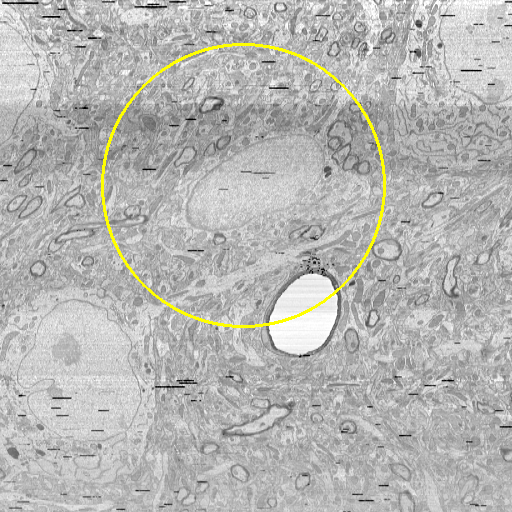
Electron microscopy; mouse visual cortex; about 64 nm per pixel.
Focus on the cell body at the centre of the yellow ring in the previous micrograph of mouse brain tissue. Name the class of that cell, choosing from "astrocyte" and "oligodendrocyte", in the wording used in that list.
astrocyte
